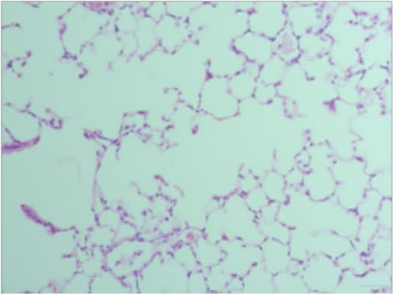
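Thin pale pink septal walls form an open, lacy network around empty air spaces of varied size, some of them quite large. Purple nuclei are scattered sparsely along the walls. Wide open areas cross the middle of the field, and at the left edge a thicker pink strand runs along, perhaps a small vessel or airway wall. Overall the tissue looks airy, with relatively few walls dividing the spaces.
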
